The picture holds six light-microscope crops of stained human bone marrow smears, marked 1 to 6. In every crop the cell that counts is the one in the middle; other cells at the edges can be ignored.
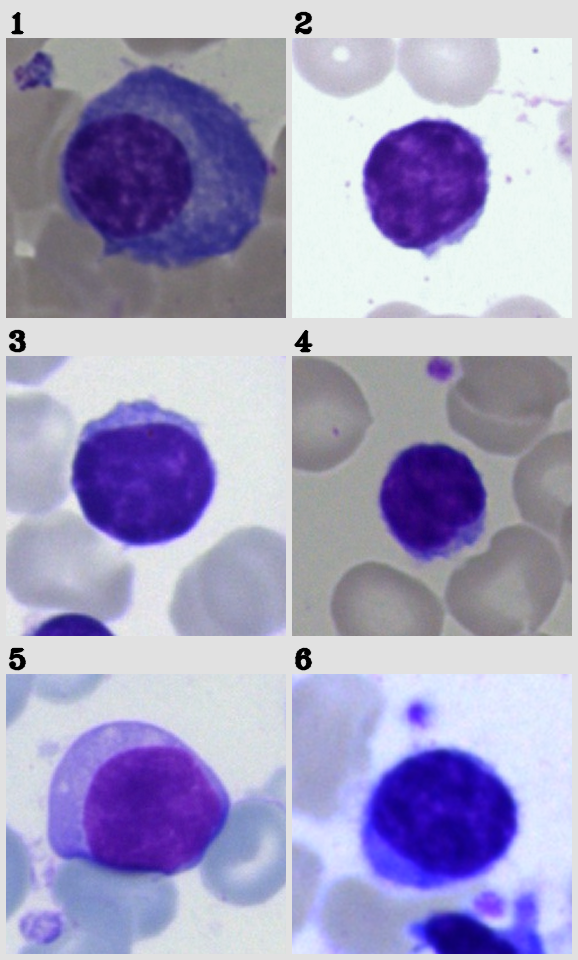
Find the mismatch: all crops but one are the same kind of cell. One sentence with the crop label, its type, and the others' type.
Of the crops, all show lymphocytes save crop 1, which shows a plasma cell.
